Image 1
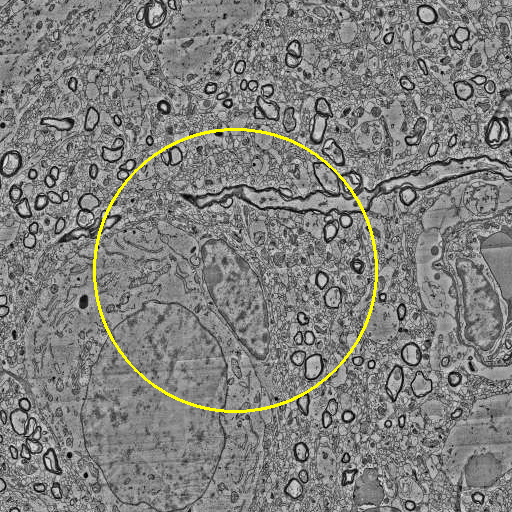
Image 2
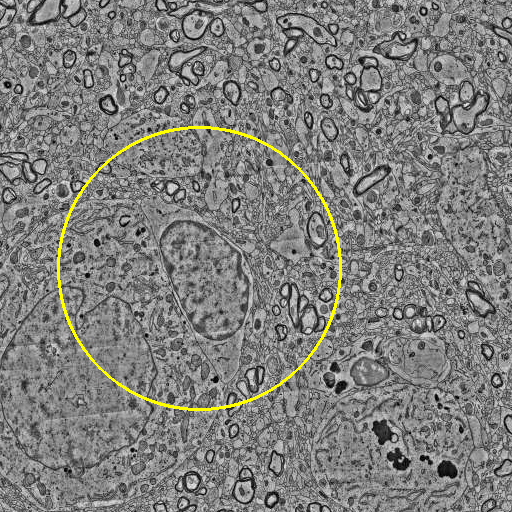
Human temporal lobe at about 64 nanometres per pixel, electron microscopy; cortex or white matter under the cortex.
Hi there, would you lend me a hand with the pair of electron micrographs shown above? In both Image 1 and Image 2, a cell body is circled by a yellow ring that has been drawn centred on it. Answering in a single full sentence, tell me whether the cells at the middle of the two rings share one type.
Yes, the ringed cells in Image 1 and Image 2 share one type.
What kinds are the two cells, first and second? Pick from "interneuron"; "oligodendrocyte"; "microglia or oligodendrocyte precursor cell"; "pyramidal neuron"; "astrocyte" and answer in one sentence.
Each of the two pictures has a microglial cell or oligodendrocyte precursor cell at the ring centre.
